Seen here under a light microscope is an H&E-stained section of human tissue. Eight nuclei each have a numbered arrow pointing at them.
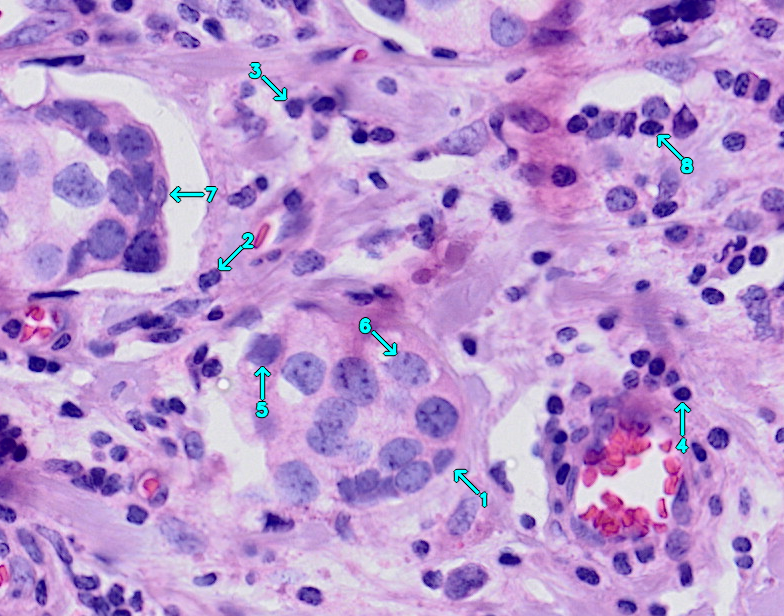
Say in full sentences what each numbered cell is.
Cell 1 is a carcinoma cell, cell 2 is a lymphocyte, cell 3 is a lymphocyte, cell 4 is a lymphocyte, cell 5 is a carcinoma cell, cell 6 is a carcinoma cell, cell 7 is a carcinoma cell and cell 8 is a lymphocyte.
